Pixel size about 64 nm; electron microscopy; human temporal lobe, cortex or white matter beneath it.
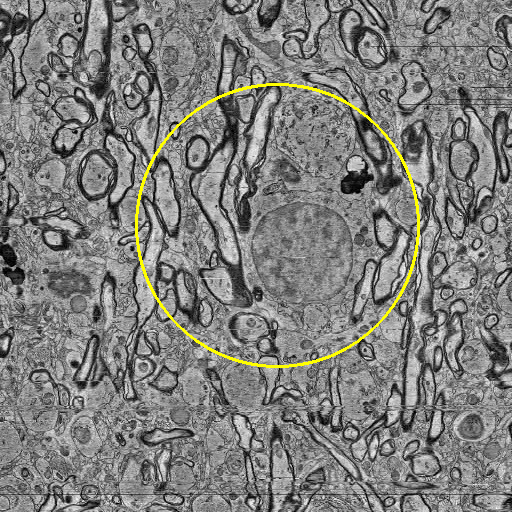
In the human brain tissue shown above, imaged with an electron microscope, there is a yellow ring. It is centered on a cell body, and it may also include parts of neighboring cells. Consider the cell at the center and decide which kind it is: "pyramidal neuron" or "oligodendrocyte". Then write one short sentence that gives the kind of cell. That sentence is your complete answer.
This centered cell body is that of an oligodendrocyte.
